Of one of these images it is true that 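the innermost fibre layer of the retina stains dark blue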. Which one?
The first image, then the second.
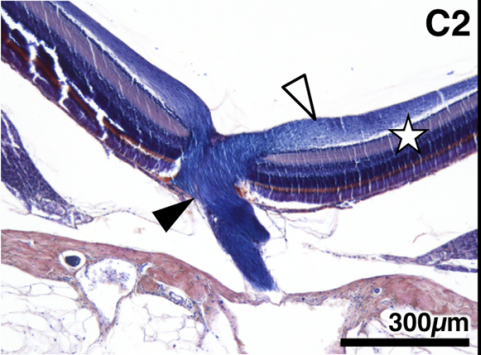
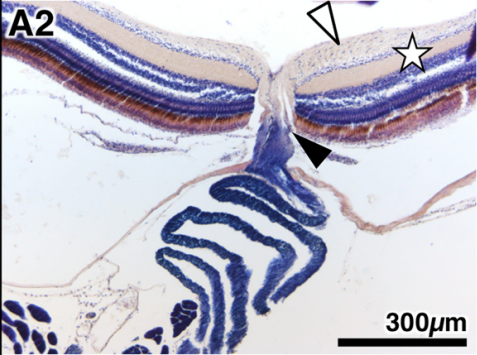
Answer: The first image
